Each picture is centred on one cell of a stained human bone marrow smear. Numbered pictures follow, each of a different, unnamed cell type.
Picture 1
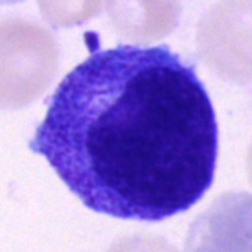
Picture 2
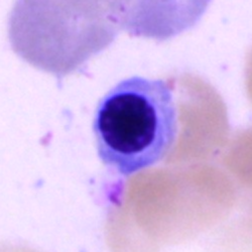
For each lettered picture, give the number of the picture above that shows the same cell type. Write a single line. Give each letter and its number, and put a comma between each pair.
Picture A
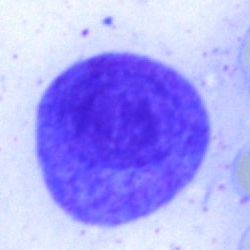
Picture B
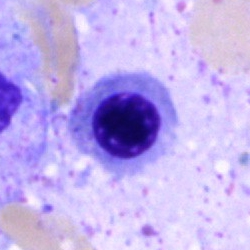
A 1, B 2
